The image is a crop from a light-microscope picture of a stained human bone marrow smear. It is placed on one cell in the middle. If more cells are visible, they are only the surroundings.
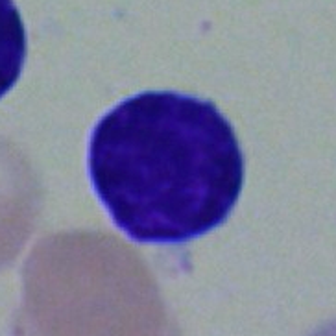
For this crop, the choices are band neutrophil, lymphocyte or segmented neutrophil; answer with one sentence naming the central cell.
The middle of this crop holds a lymphocyte.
